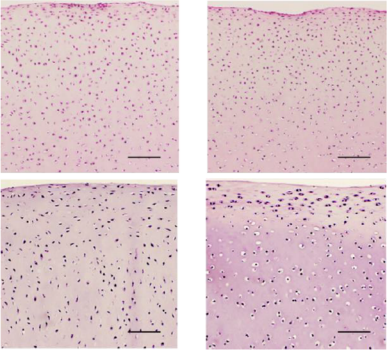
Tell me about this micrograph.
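Four fields of cartilage with chondrocytes scattered through a pale pink-purple matrix. Along the upper edge of each field the cells are flattened, dense and lie parallel to the surface. Deeper down the cells are sparser, rounder and sit singly or in small groups within lacunae. In the lower right field many cells are surrounded by clear halos, making them look enlarged, and cells are crowded near the upper surface.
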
